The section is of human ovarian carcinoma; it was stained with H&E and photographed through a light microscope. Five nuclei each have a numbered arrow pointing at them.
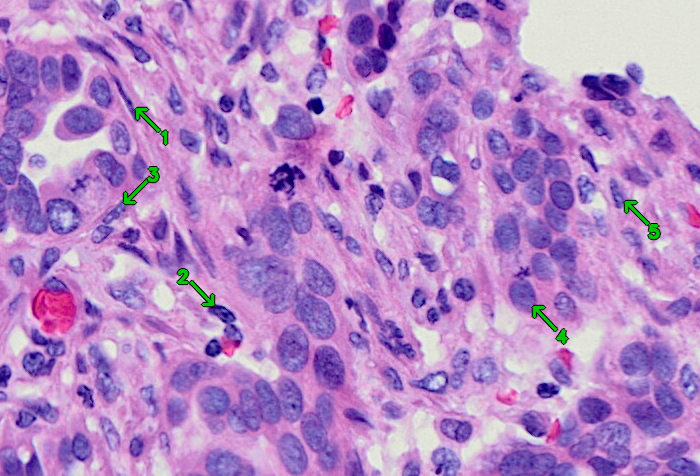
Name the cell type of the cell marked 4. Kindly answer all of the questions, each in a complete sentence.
Corresponding to a carcinoma cell is the cell labelled 4.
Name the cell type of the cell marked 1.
The one numbered 1 among the marked cells is a fibroblast.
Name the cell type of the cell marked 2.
The numbered cell 2 is identified here as a lymphocyte.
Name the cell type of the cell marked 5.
The cell pointed out as number 5 is a fibroblast.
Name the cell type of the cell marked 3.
In the tissue shown, cell 3 is a fibroblast.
